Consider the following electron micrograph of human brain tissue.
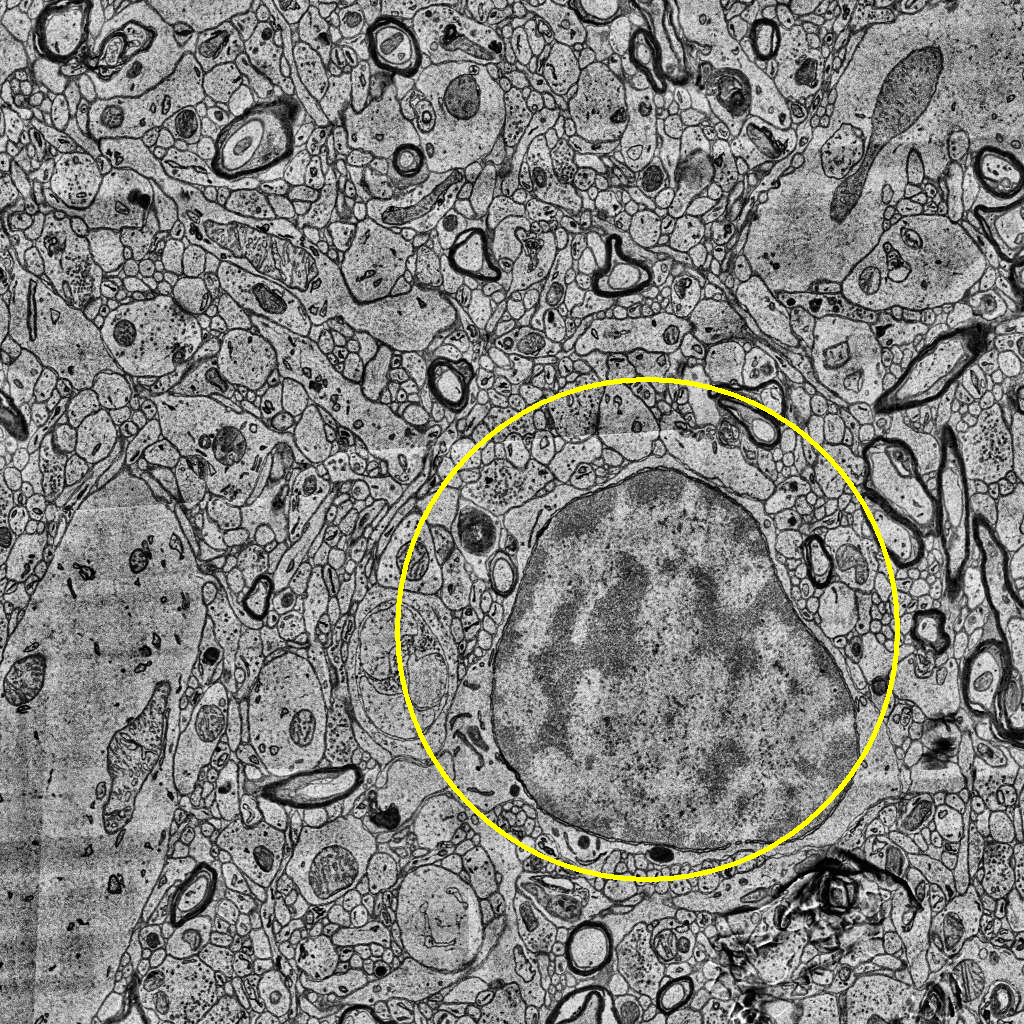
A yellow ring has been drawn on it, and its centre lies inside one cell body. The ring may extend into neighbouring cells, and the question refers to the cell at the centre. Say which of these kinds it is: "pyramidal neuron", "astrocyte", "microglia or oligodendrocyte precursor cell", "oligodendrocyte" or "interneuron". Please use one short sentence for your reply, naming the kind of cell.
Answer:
The centre of the ring falls on a microglial cell or oligodendrocyte precursor cell.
